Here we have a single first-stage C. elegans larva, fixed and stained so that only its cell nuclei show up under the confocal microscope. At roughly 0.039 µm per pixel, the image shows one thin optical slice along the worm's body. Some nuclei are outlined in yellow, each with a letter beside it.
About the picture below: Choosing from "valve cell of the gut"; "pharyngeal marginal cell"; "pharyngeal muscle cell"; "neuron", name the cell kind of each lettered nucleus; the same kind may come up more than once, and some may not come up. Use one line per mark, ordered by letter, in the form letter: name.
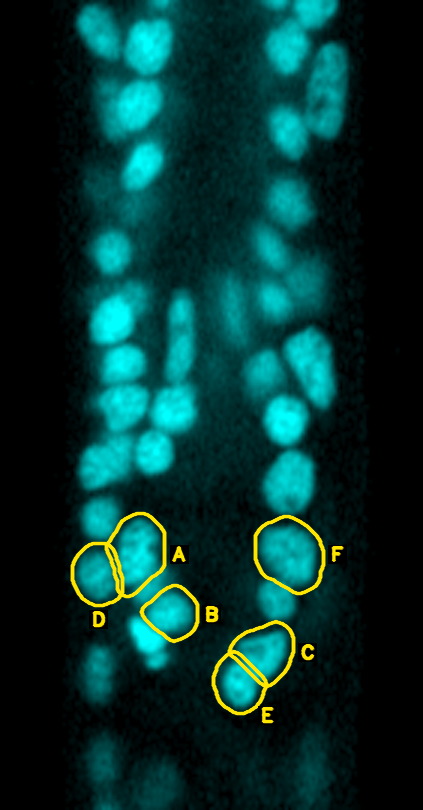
A: pharyngeal marginal cell
B: pharyngeal muscle cell
C: valve cell of the gut
D: neuron
E: valve cell of the gut
F: pharyngeal muscle cell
